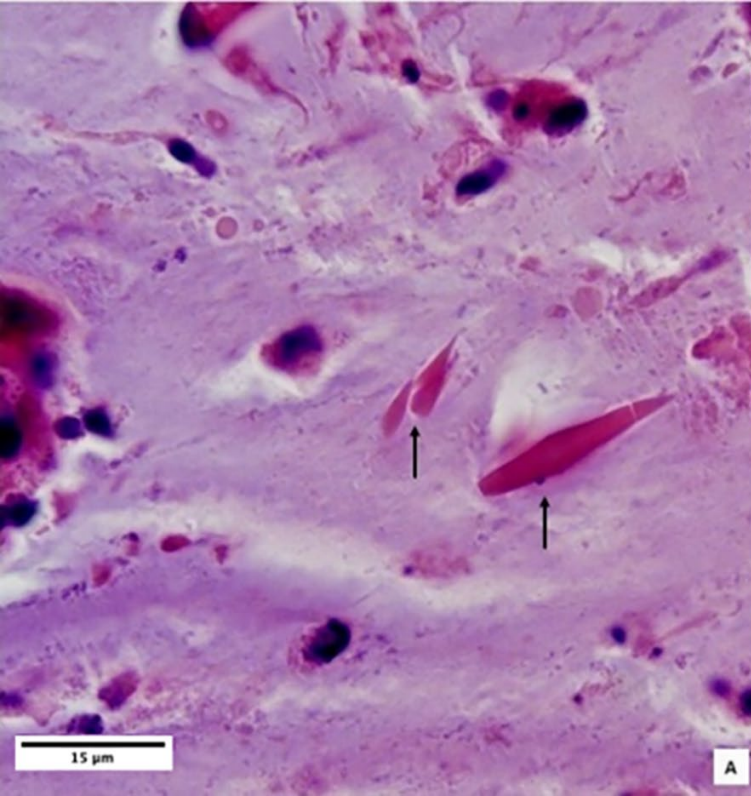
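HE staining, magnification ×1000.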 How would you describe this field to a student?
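This field shows eosinophilic mucin containing Charcot-Leyden crystals. Most of the area is taken up by pale pink-lilac, amorphous and streaky material with few cells. A handful of cells with dark, compact nuclei and pink cytoplasm are scattered through it, some near the left edge. In the centre lie elongated, sharply pointed crystals stained bright pink-red, one large and spindle-shaped and a smaller pair beside it.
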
